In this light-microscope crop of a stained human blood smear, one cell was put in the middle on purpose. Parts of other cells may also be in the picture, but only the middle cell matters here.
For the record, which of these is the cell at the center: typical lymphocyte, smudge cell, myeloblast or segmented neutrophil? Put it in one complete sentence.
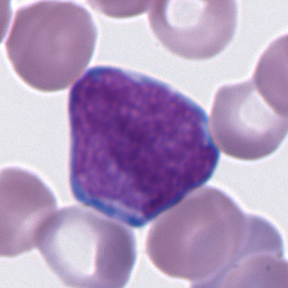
In the middle of this smear crop is a myeloblast.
